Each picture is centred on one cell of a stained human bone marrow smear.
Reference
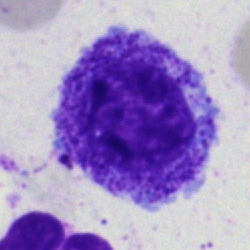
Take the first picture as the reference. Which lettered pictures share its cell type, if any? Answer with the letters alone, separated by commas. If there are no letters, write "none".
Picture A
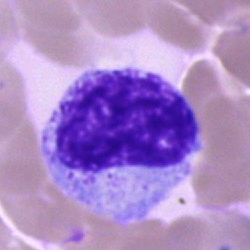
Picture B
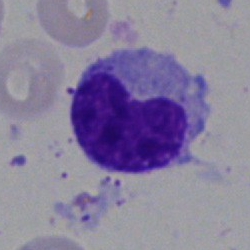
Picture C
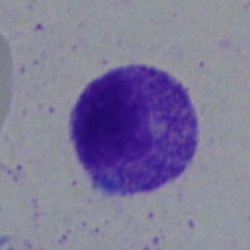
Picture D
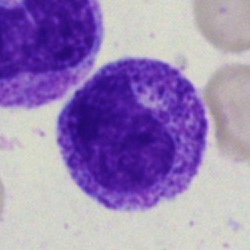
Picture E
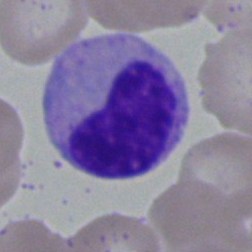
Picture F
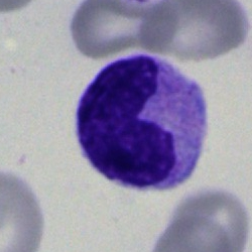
A, C, D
